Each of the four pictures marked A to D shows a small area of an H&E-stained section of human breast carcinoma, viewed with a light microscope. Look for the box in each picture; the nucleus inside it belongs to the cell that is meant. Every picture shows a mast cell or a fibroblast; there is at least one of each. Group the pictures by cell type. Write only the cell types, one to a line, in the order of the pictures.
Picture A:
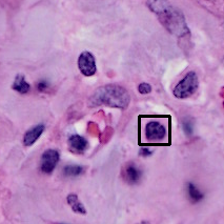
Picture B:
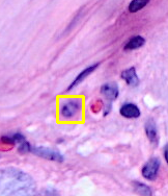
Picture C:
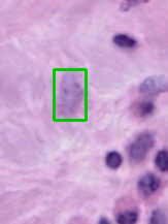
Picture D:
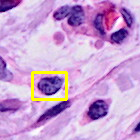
mast cell
mast cell
fibroblast
mast cell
